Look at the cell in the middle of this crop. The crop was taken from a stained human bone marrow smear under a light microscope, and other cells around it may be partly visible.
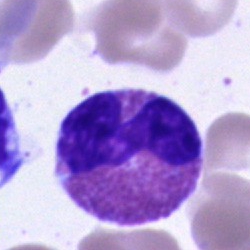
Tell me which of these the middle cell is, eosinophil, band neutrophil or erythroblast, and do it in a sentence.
The cell marked by its central position in the crop is an eosinophil.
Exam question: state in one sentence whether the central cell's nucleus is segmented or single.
Look at the nucleus and you will find it divided into two or more lobes.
